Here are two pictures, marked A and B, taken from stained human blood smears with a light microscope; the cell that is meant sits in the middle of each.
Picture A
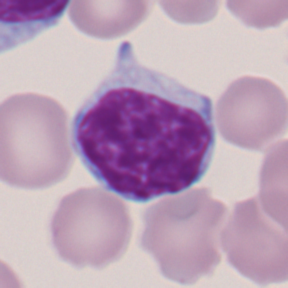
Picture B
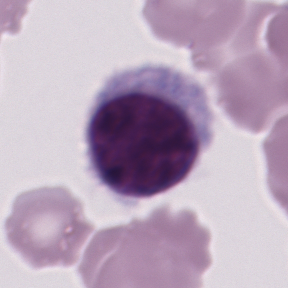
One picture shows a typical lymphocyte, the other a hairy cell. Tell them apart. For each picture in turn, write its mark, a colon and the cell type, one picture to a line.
A: typical lymphocyte
B: hairy cell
